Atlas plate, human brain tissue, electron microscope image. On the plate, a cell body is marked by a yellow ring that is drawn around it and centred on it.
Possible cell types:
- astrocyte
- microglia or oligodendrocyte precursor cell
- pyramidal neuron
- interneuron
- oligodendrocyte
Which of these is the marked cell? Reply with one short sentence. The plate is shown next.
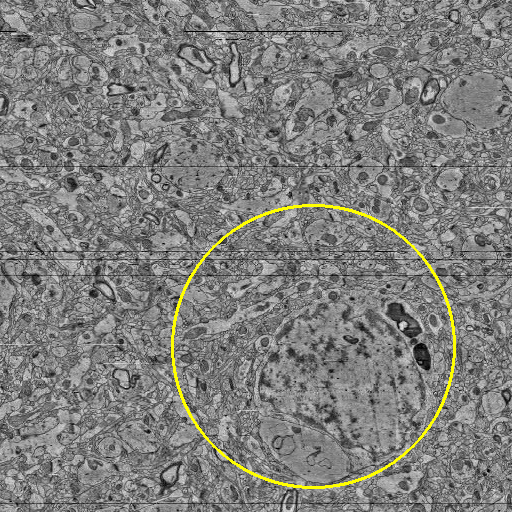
The marked cell is an interneuron.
